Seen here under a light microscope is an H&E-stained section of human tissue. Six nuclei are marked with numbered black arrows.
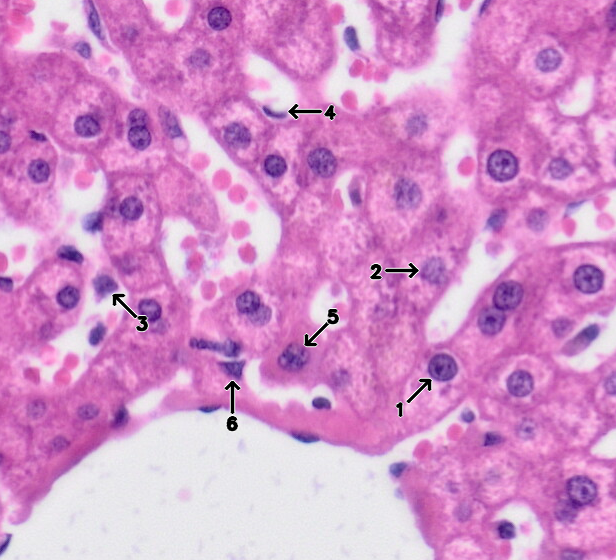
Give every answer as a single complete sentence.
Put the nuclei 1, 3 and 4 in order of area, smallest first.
The order from the smallest nucleus to the largest is 4, 3, 1.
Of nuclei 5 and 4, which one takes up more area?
The larger nucleus is 5, at roughly 2 times the area of 4.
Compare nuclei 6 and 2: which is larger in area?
It is nucleus 2, which covers about 1.5 times the area of nucleus 6.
